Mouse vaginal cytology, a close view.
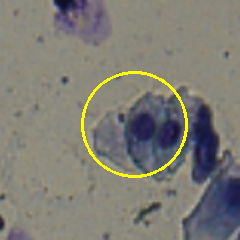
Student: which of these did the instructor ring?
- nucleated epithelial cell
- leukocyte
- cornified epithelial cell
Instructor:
The cell I ringed is a nucleated epithelial cell.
